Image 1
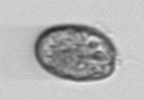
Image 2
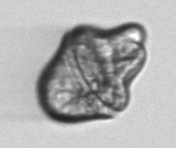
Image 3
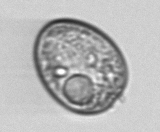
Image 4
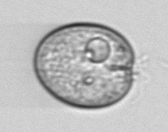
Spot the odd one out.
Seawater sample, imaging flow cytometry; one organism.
Picture 2 (Akashiwo among Prorocentrum).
